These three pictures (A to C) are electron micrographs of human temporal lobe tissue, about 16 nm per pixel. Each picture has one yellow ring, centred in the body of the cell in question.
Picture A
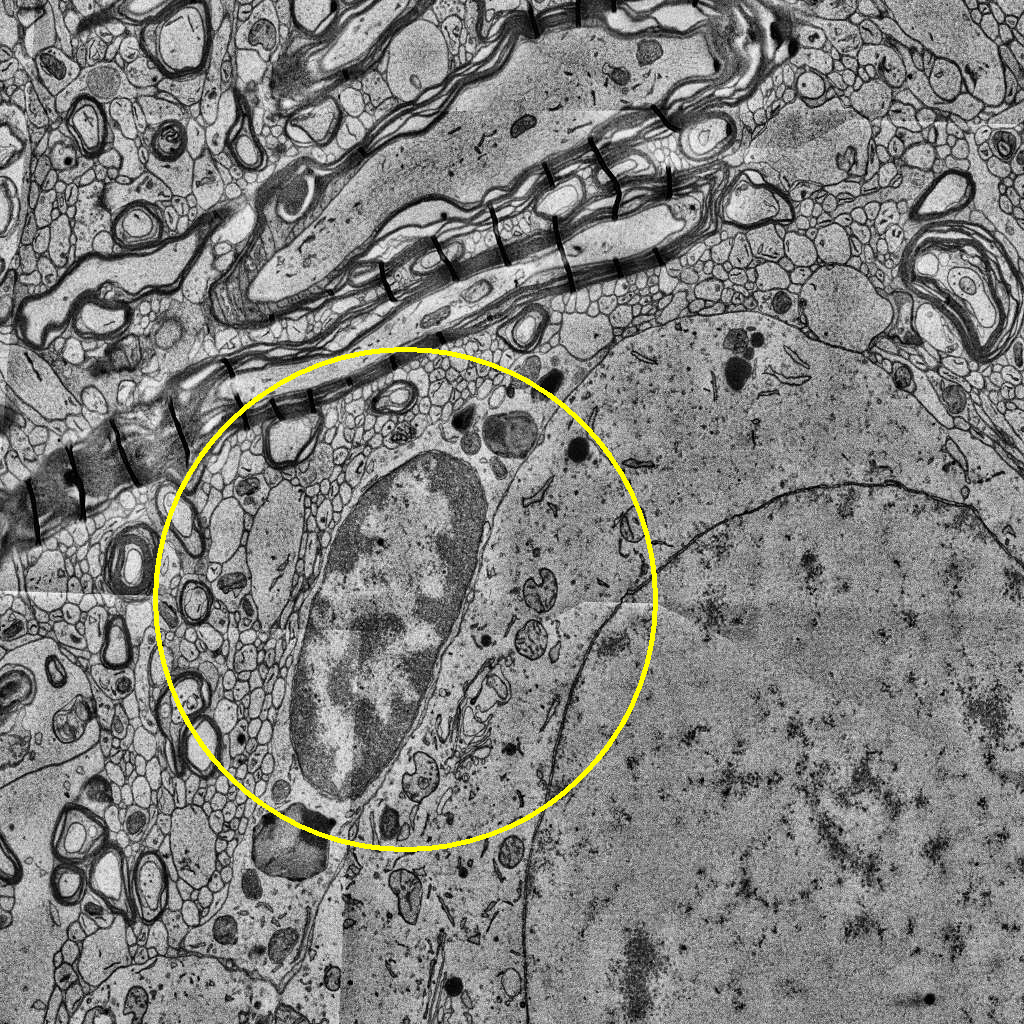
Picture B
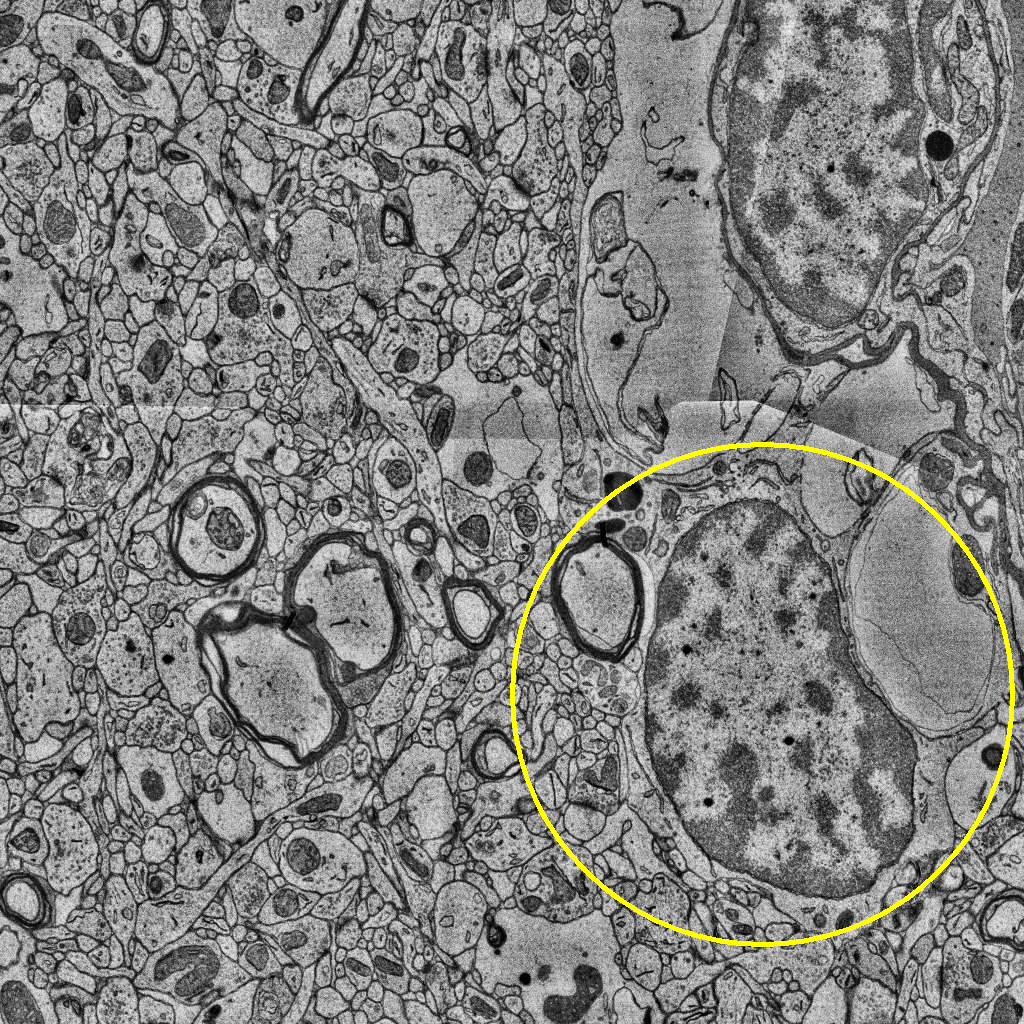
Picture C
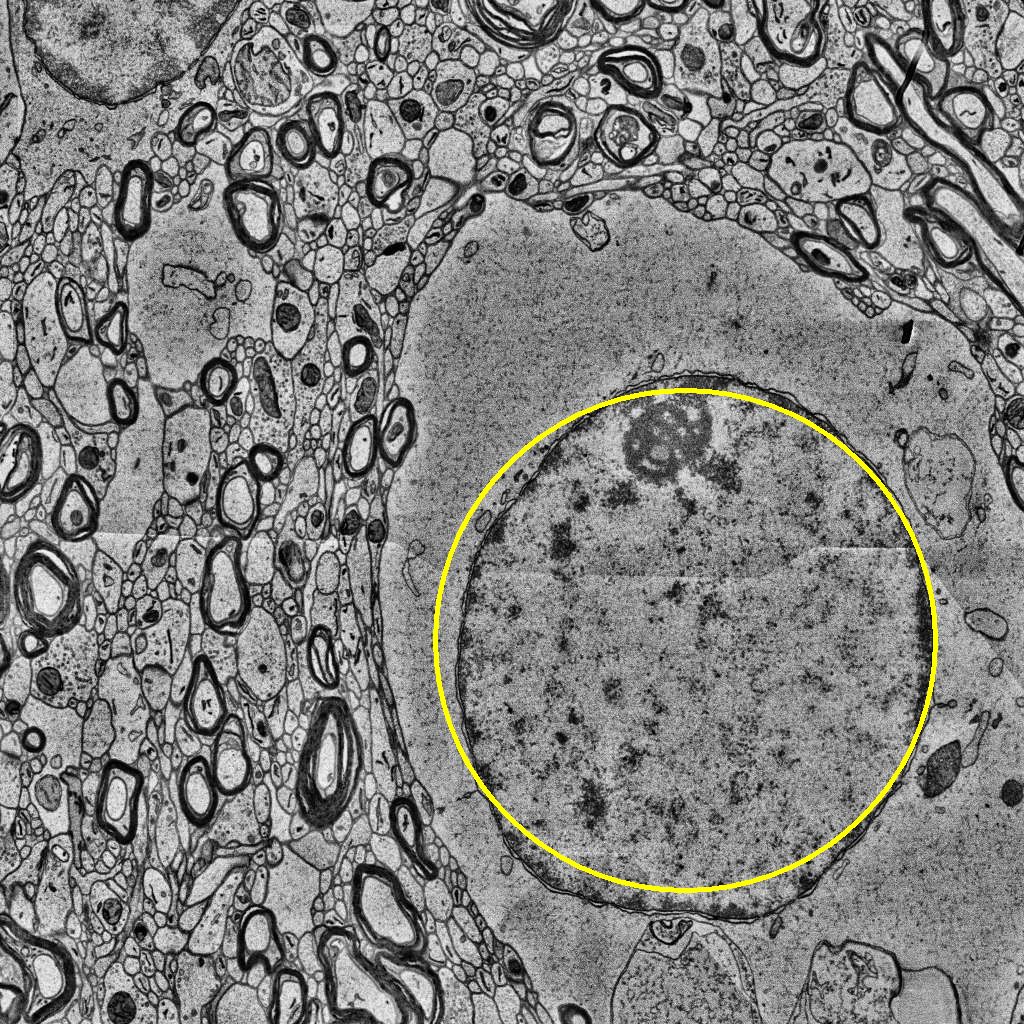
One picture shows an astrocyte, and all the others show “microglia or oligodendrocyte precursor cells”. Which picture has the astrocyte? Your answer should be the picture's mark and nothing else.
C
